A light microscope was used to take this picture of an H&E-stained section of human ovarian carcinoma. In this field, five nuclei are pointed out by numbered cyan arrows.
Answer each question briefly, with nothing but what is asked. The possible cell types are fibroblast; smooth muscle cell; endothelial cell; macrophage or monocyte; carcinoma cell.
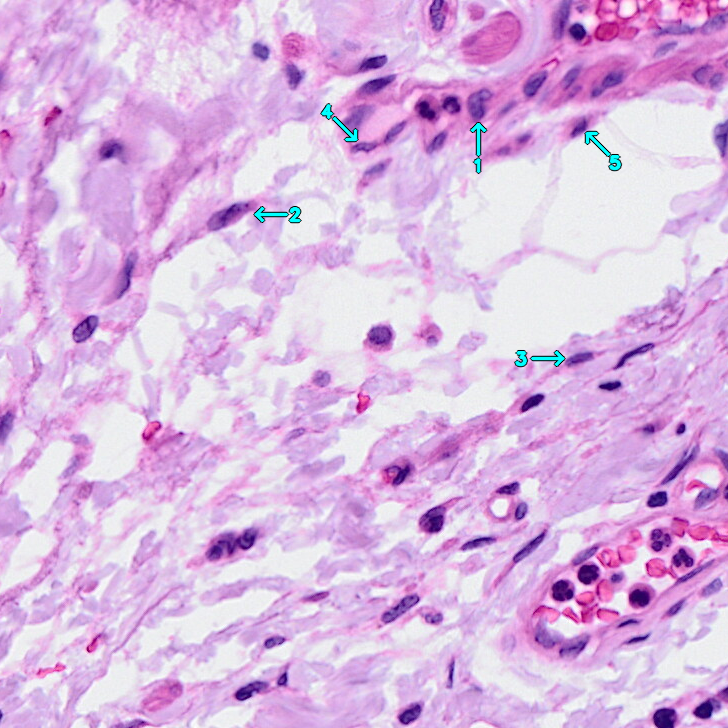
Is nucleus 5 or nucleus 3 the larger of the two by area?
3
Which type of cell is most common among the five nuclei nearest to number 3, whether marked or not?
macrophage or monocyte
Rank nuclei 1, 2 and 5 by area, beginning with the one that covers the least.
5, 1, 2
